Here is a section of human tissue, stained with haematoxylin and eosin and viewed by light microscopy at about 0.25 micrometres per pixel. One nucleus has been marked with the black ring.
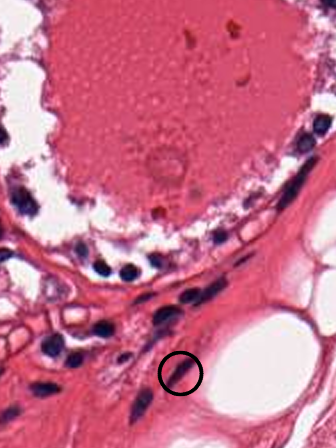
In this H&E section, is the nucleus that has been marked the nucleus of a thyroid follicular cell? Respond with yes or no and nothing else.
no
